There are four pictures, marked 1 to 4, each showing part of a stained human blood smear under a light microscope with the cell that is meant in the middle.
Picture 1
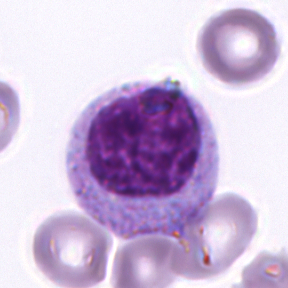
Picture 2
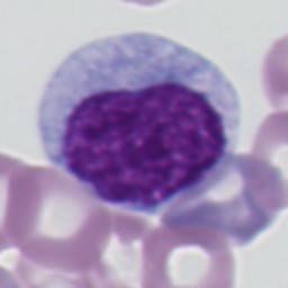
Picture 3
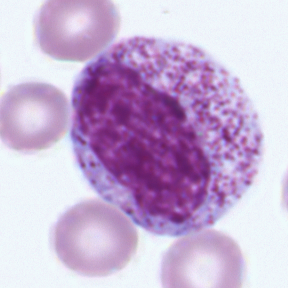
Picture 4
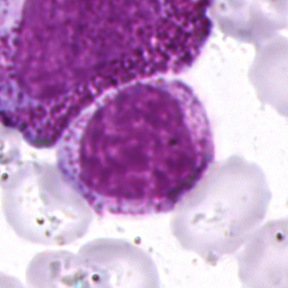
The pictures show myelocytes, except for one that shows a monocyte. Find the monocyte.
2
